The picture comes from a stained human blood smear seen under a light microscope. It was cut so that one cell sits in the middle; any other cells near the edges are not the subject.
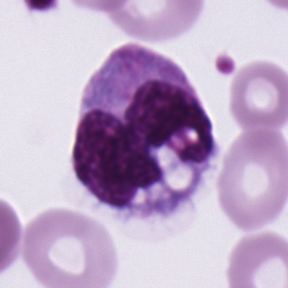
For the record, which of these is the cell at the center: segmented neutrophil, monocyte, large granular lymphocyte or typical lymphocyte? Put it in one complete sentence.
By classification, the middle cell of this crop is a monocyte.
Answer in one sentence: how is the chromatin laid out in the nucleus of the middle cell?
What stands out is chromatin that is coarsely clumped.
